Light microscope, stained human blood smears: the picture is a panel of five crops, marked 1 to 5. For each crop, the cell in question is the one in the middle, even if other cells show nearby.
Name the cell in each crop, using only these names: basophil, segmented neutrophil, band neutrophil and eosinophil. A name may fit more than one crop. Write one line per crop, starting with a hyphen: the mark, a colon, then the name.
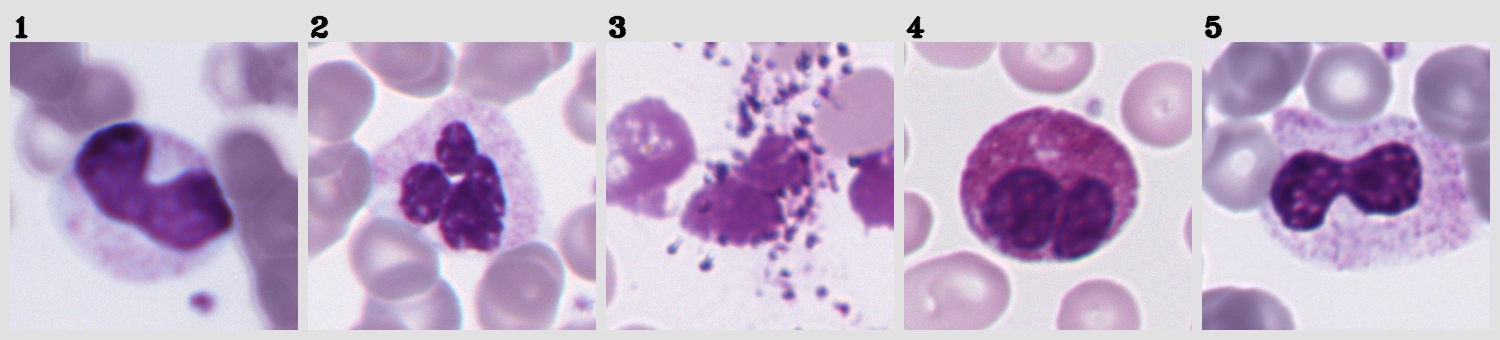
- 1: band neutrophil
- 2: segmented neutrophil
- 3: basophil
- 4: eosinophil
- 5: band neutrophil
